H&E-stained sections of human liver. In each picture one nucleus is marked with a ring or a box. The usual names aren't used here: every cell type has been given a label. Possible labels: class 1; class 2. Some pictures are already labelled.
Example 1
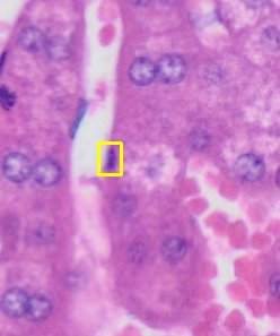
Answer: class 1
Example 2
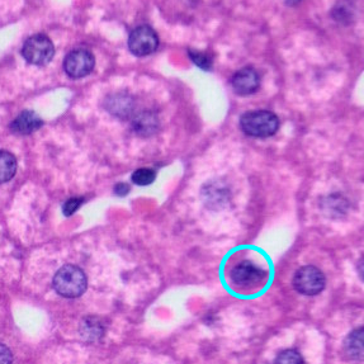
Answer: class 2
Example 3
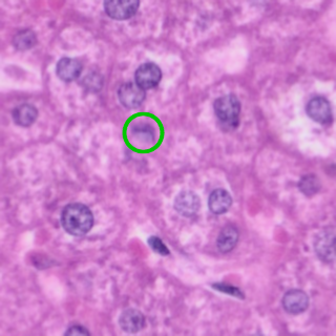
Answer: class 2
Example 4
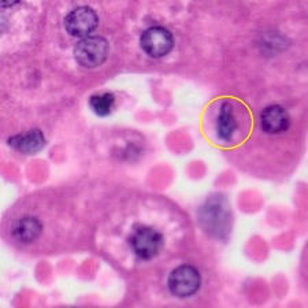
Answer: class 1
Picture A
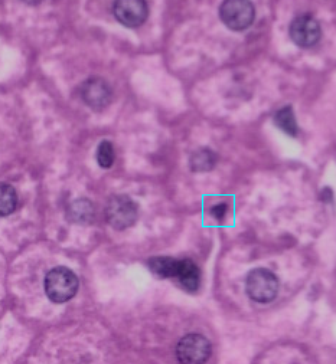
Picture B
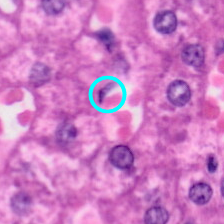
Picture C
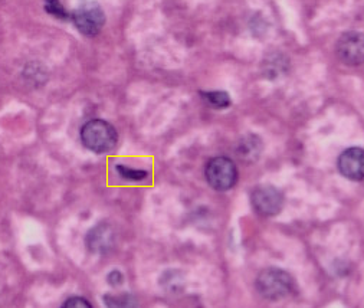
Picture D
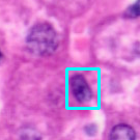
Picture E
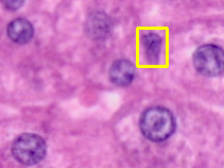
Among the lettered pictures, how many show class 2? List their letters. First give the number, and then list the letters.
Count: 2 (B, C)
